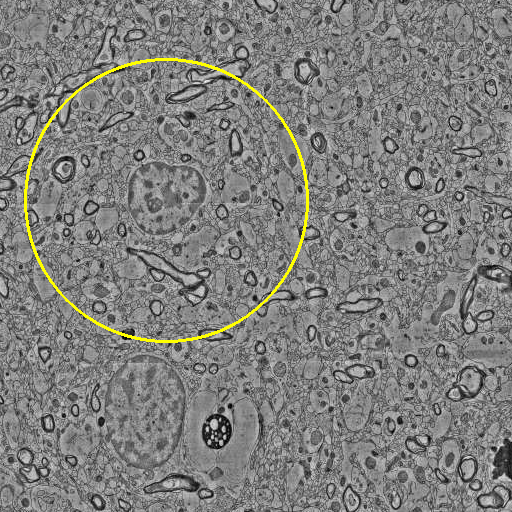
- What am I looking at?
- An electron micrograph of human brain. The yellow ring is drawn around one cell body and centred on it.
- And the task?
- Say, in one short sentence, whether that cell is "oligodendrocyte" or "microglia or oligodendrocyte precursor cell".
The cell in the middle of the ring is a microglial cell or oligodendrocyte precursor cell.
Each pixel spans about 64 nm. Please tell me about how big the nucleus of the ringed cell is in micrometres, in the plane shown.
In this plane, roughly 5 micrometres across.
